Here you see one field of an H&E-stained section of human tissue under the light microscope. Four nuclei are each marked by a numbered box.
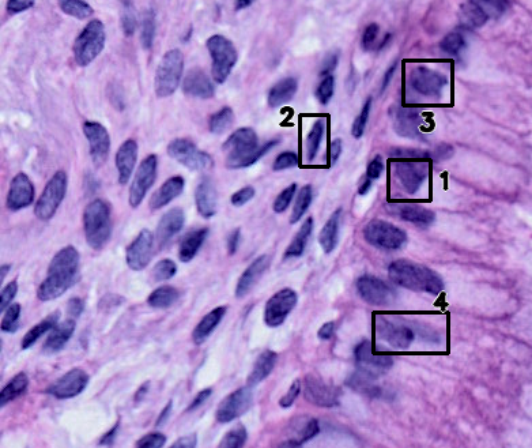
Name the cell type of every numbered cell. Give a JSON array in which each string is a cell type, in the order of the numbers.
["secretory epithelial cell", "fibroblast", "secretory epithelial cell", "secretory epithelial cell"]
